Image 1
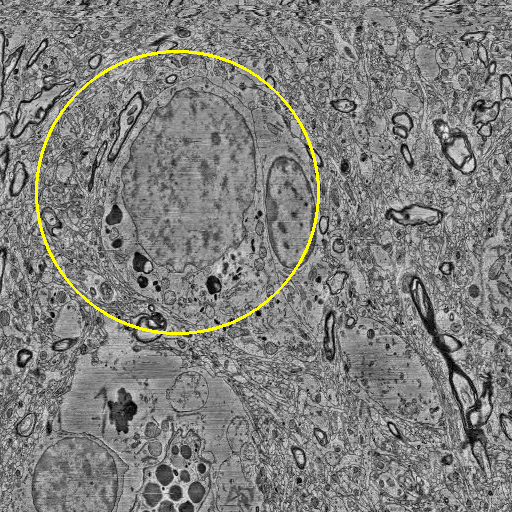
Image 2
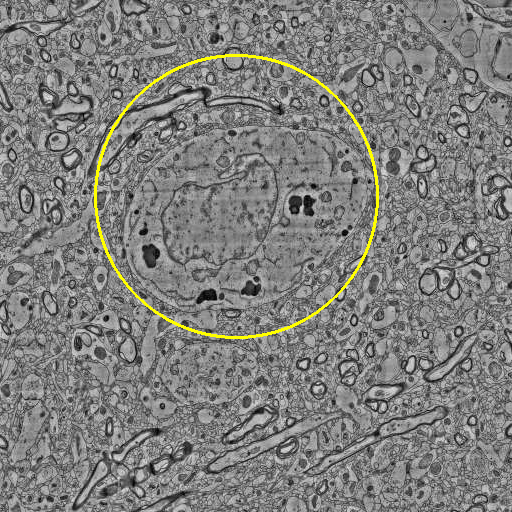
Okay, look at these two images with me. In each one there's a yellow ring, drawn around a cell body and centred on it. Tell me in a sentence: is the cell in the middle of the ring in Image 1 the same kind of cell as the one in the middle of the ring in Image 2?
Yes, they're the same kind of cell.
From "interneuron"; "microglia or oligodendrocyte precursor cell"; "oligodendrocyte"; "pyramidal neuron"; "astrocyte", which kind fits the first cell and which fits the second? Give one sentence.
The second cell is a pyramidal neuron, just as the first is.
